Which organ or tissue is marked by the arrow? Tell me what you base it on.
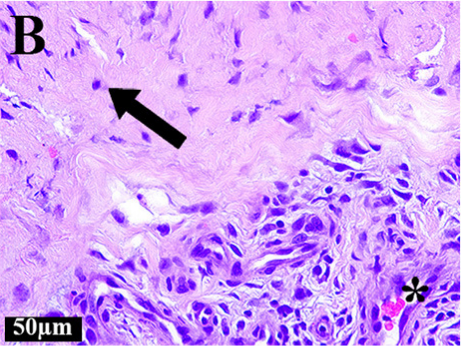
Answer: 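Pale pink wavy fibres fill the upper part. Few scattered elongated nuclei lie between the fibres. That points to this answer: Fibrous connective tissue.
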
